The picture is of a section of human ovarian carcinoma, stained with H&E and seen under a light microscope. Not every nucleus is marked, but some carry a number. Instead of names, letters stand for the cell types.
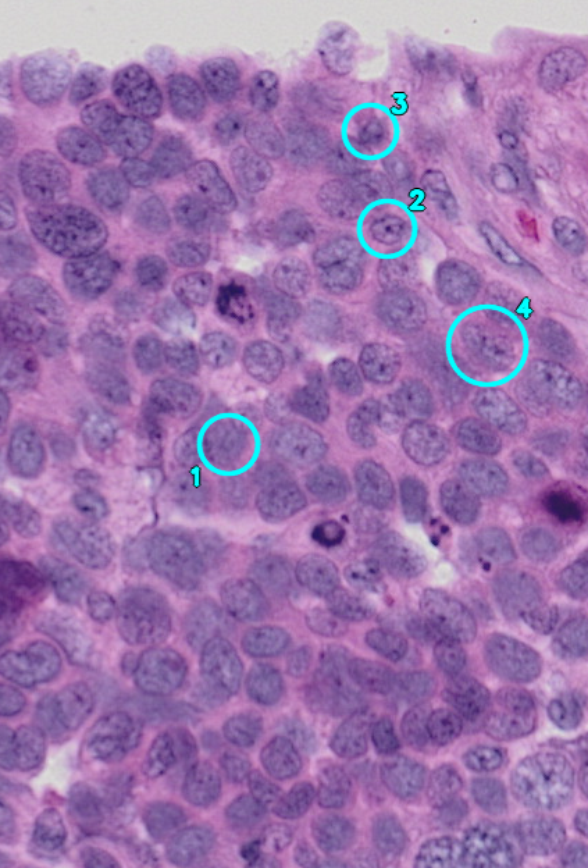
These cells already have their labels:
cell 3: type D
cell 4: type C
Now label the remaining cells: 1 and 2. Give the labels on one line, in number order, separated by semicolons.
type C; type D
